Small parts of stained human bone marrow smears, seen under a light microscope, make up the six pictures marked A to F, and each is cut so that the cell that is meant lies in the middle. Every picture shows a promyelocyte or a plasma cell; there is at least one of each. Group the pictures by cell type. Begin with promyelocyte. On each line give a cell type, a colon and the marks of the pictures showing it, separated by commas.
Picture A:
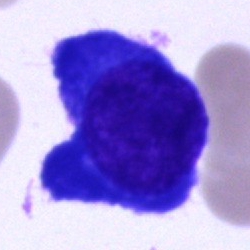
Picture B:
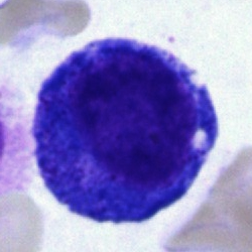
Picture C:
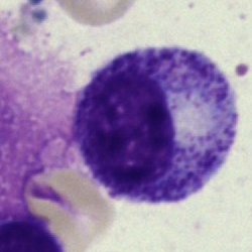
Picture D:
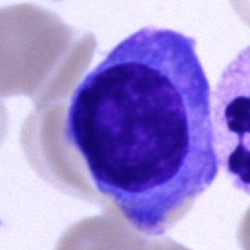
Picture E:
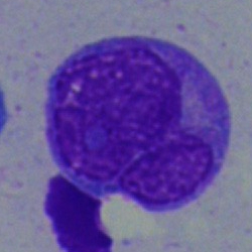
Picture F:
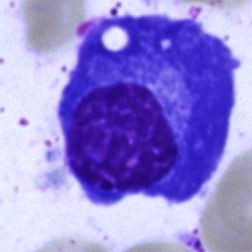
promyelocyte: B, C, E
plasma cell: A, D, F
